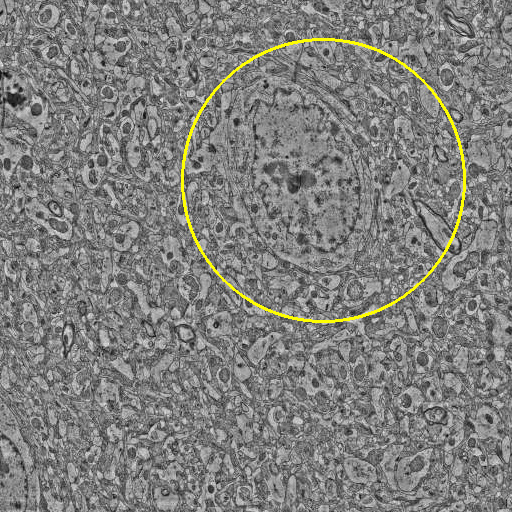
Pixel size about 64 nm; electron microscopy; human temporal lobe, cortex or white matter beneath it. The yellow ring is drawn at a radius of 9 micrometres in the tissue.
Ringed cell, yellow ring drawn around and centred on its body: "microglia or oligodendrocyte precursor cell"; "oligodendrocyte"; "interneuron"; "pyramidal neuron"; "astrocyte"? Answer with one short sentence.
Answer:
This ringed cell is an interneuron.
